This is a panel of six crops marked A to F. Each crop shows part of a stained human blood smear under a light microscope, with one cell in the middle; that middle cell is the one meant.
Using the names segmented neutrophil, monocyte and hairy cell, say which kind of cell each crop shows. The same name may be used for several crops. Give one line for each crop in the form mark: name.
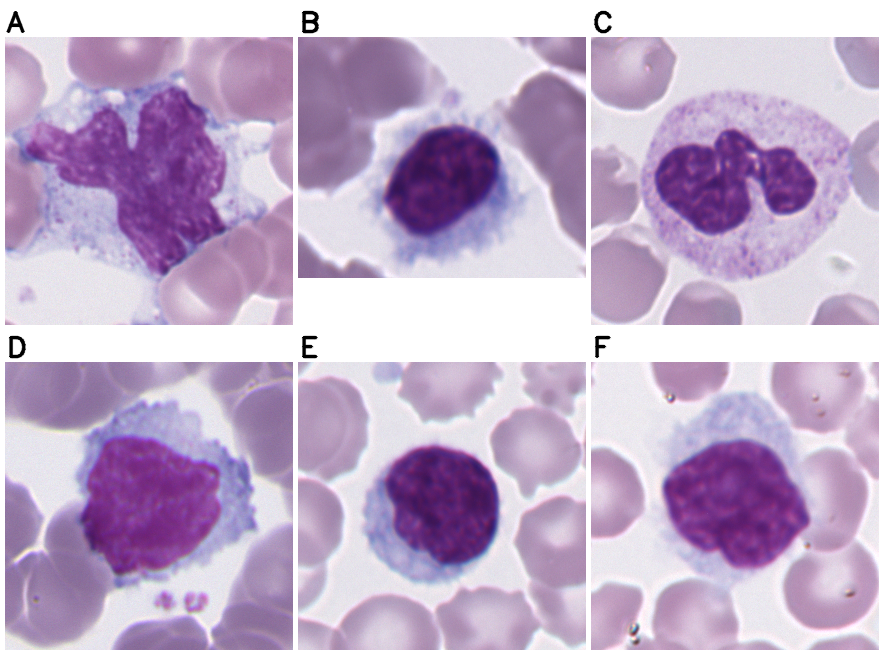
A: monocyte
B: hairy cell
C: segmented neutrophil
D: monocyte
E: hairy cell
F: hairy cell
